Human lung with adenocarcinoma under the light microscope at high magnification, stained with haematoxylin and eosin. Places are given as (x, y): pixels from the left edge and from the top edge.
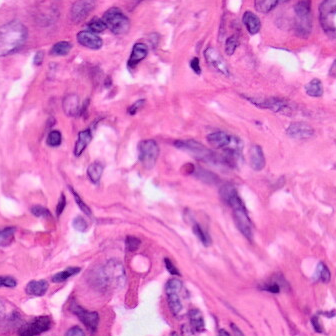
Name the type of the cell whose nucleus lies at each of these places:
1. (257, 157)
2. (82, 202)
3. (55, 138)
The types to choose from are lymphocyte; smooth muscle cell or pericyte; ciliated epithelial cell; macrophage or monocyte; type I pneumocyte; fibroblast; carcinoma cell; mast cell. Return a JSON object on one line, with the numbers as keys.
{"1": "mast cell", "2": "fibroblast", "3": "lymphocyte"}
